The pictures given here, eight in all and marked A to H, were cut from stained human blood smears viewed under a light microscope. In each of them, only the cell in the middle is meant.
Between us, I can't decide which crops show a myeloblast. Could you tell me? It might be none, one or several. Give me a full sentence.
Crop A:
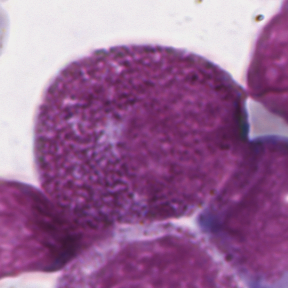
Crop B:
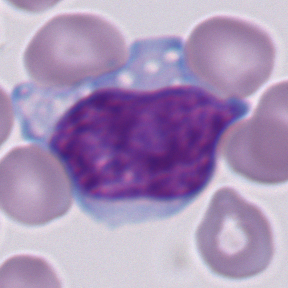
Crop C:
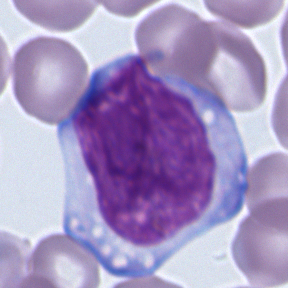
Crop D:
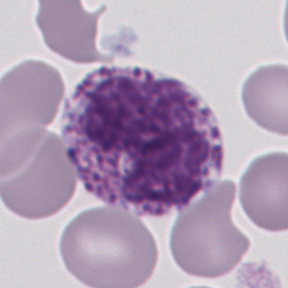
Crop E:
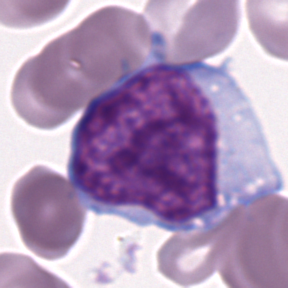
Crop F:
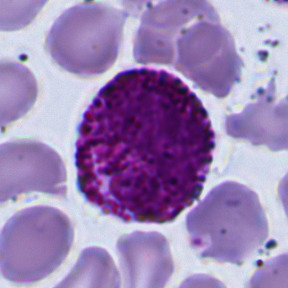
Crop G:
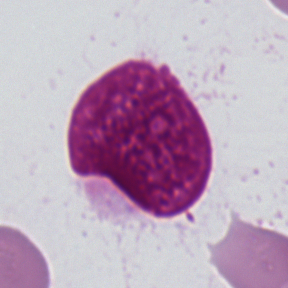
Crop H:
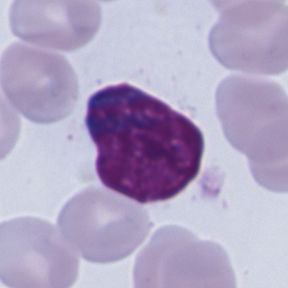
The cells marked B, C and E are myeloblasts.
